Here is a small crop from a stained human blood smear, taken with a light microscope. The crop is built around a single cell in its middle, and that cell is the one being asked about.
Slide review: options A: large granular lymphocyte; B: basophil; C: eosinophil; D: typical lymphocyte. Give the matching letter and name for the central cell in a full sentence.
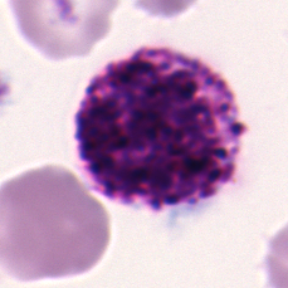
Option B correctly states that the central cell is a basophil.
